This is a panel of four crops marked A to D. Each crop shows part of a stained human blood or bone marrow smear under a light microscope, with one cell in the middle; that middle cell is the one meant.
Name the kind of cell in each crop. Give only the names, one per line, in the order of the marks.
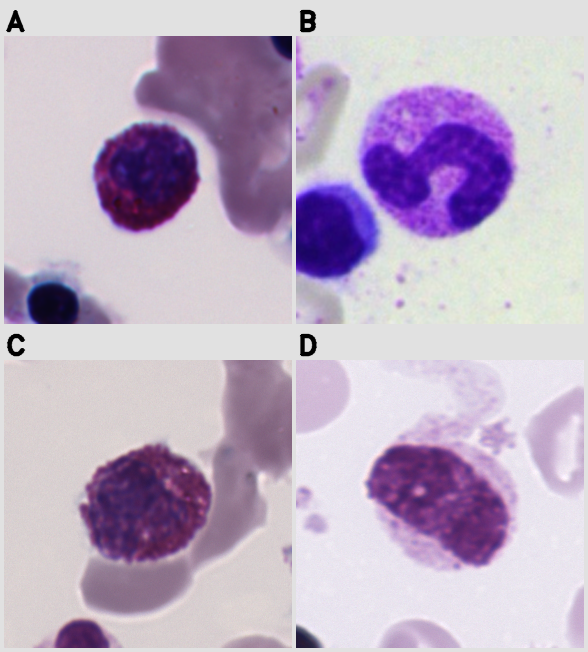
eosinophil
segmented neutrophil
eosinophil
band neutrophil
